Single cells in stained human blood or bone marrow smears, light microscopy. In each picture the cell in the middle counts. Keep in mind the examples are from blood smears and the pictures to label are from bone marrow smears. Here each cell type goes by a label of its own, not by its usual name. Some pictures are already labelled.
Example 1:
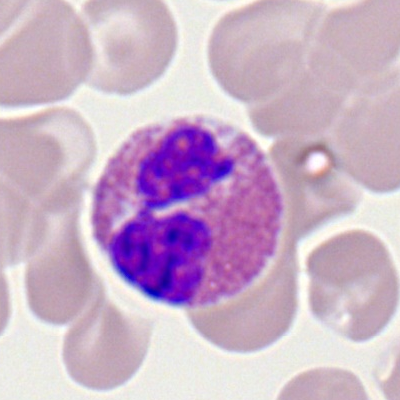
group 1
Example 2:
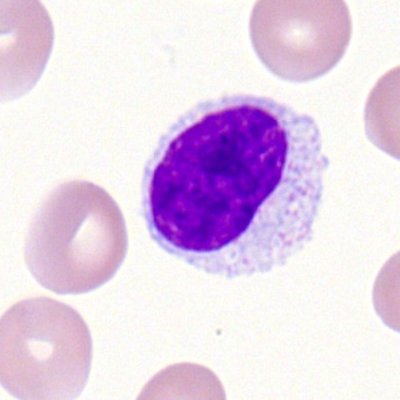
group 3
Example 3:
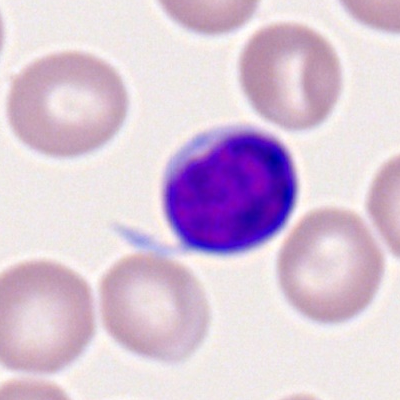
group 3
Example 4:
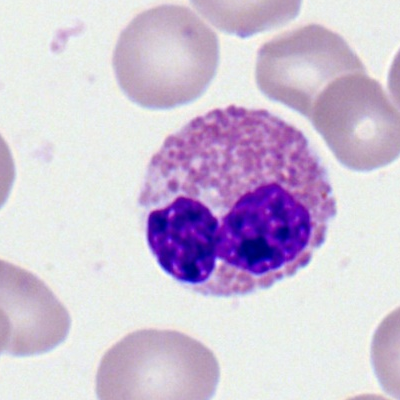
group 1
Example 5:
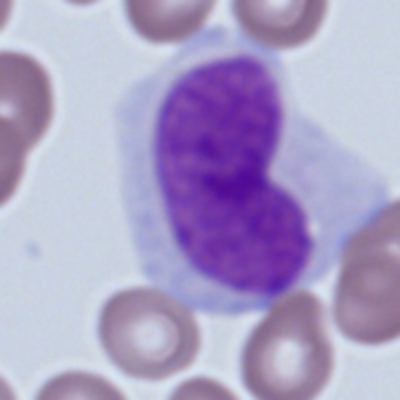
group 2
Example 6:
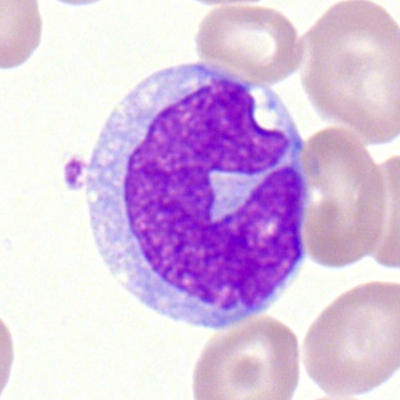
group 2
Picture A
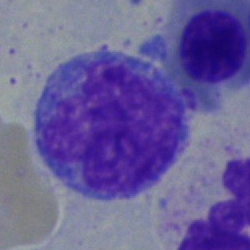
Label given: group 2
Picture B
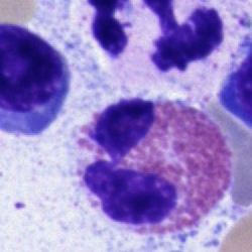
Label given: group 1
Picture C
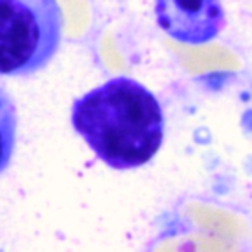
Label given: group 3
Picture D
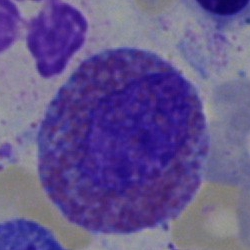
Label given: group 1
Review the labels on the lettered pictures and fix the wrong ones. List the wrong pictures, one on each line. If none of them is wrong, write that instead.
None of the labels needs changing.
